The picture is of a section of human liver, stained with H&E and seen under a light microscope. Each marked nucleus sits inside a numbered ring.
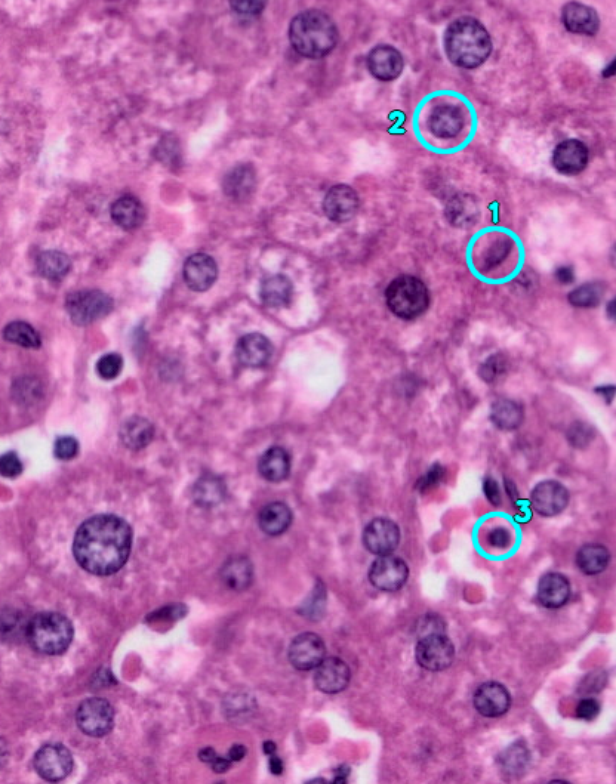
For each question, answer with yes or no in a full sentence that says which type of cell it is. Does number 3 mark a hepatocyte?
No, number 3 points to a lymphocyte and not to a hepatocyte.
